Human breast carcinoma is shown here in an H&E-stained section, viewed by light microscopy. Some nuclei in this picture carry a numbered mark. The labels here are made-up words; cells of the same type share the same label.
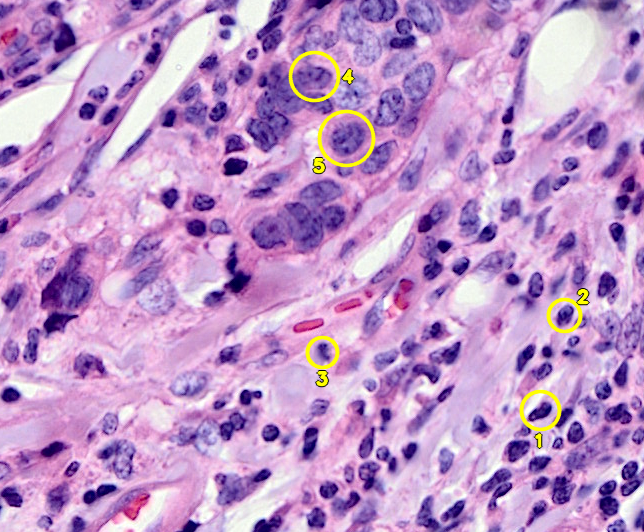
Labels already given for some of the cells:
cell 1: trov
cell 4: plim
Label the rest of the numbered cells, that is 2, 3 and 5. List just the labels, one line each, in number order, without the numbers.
trov
trov
plim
